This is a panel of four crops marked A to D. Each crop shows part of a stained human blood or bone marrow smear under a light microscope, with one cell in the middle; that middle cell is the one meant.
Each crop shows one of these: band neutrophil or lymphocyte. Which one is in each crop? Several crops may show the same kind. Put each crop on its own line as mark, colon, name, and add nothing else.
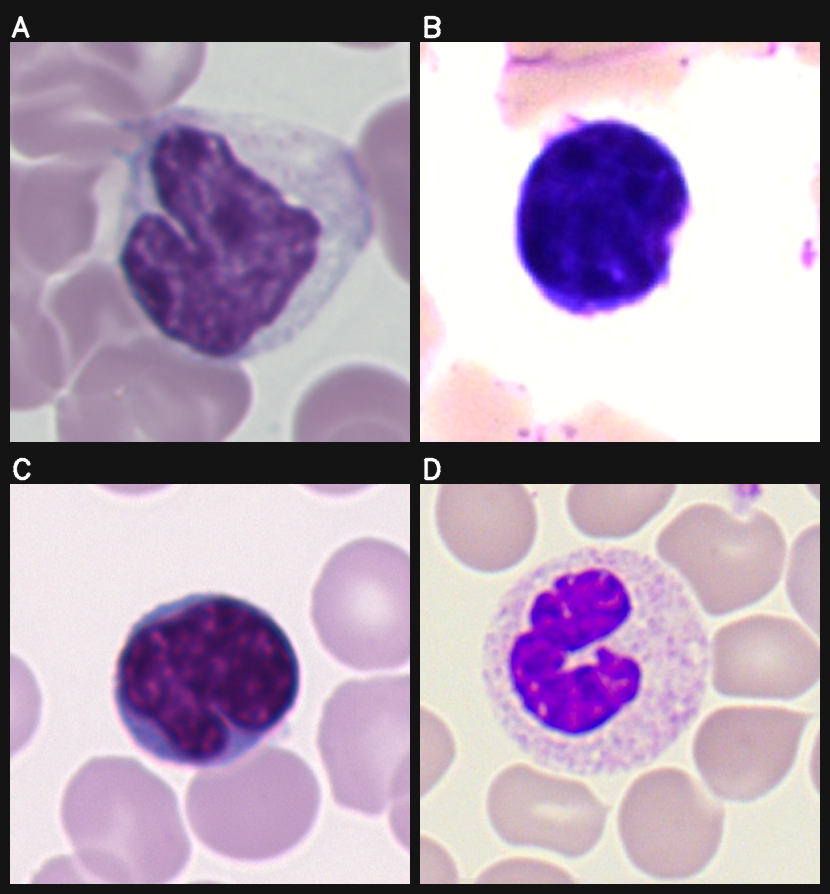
A: band neutrophil
B: lymphocyte
C: lymphocyte
D: band neutrophil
